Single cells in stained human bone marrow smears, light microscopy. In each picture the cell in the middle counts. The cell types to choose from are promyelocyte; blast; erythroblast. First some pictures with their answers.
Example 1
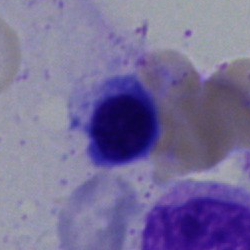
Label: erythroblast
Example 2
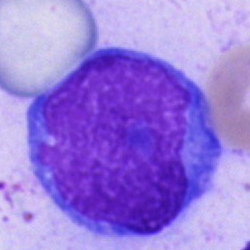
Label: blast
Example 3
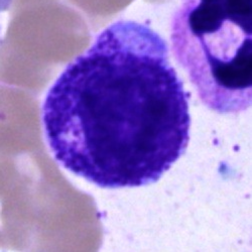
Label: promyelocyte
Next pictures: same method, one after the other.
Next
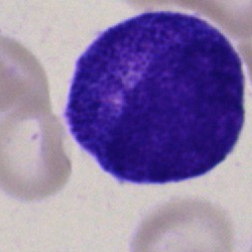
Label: promyelocyte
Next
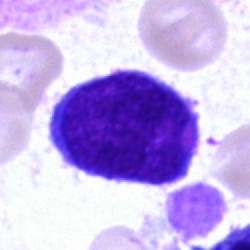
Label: blast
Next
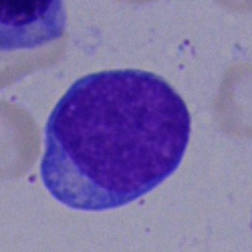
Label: blast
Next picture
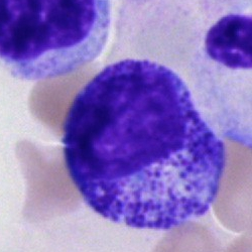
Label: promyelocyte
